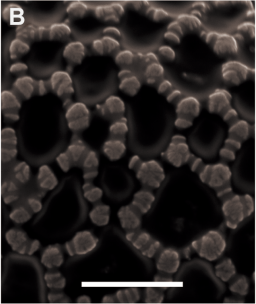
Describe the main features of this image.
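This is a close scanning electron view of the surface of a pollen grain, showing a network of raised ridges enclosing dark, sunken spaces. The ridges are not continuous walls but are built of separate rounded, knob-like elements set in rows, with visible gaps between many of them. The enclosed spaces are irregular, rounded to polygonal, and vary in size, with smooth dark floors. The whole surface has a loose, beaded net-like pattern.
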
